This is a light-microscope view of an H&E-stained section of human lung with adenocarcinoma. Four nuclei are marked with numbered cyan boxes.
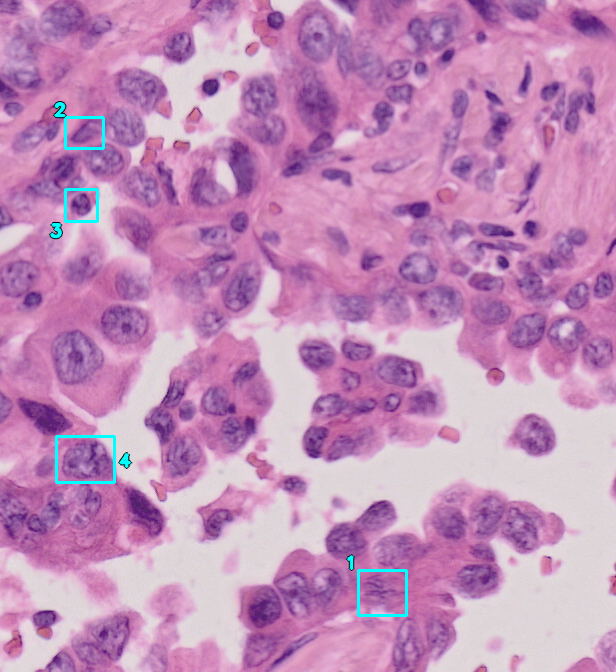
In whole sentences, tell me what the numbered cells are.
Cell 1 is a carcinoma cell, cell 2 is a carcinoma cell, cell 3 is a lymphocyte and cell 4 is a carcinoma cell.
